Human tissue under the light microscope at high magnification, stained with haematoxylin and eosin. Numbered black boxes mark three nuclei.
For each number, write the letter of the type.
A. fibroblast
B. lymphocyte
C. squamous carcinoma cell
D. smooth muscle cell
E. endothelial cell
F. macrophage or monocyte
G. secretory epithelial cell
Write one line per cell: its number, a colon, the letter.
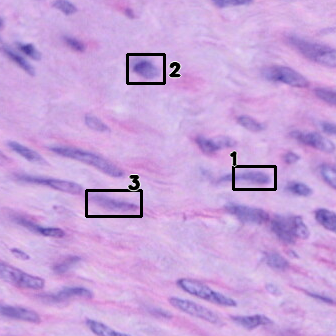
1: A
2: A
3: D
